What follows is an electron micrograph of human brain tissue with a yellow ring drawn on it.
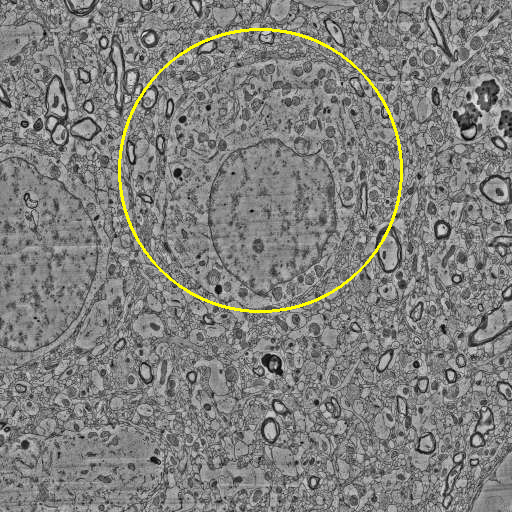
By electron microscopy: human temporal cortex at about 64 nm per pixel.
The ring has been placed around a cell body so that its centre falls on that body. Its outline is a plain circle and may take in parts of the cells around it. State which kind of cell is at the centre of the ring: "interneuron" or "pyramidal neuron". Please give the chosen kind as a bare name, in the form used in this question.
interneuron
